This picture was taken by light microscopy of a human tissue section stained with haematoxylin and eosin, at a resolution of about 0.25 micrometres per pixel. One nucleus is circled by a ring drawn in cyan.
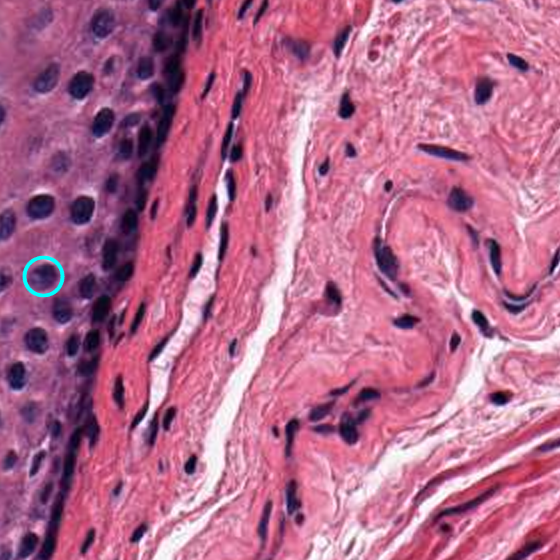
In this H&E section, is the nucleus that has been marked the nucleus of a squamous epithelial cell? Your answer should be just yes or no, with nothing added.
yes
